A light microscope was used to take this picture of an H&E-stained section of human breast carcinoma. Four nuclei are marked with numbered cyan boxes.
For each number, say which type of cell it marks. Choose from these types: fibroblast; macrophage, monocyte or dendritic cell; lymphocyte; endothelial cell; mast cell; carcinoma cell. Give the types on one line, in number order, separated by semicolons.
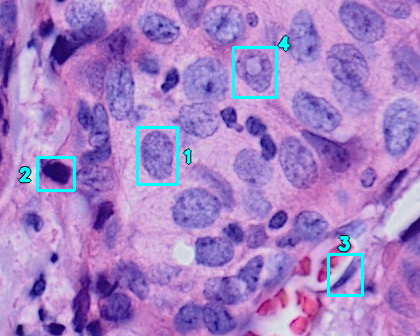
carcinoma cell; carcinoma cell; endothelial cell; carcinoma cell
